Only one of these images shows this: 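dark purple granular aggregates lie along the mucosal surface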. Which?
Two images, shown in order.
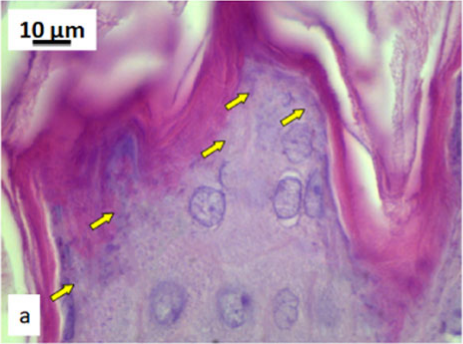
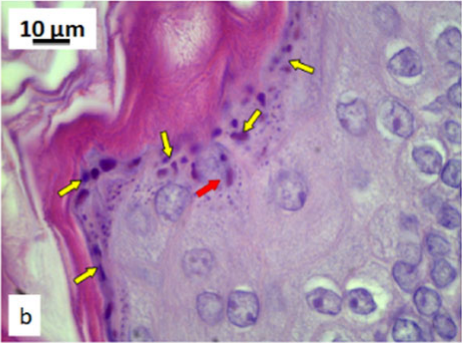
The second image.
